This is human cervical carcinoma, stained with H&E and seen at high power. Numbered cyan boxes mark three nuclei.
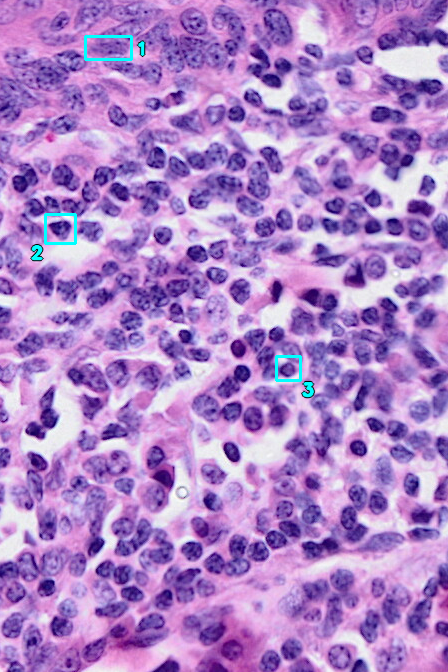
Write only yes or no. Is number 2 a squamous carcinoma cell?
no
